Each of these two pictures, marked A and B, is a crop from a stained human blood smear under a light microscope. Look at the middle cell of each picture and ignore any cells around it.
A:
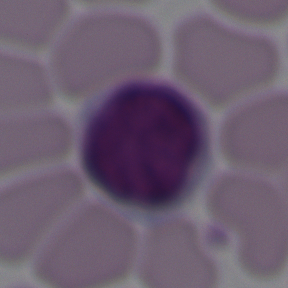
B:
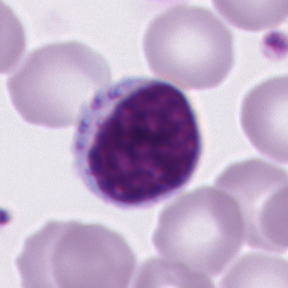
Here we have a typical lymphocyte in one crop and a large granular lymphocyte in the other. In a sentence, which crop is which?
Represented in crop A is a typical lymphocyte; represented in crop B is a large granular lymphocyte.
